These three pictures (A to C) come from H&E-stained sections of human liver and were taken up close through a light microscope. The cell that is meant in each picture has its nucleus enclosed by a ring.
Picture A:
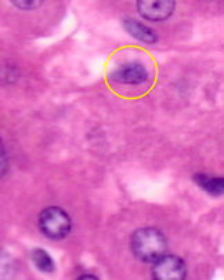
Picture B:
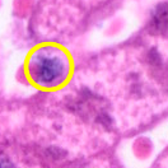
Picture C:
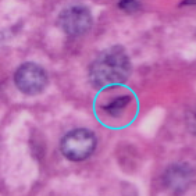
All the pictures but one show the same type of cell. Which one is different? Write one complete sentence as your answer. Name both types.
All pictures except B show “fibroblasts or stellate cells”; picture B shows an endothelial cell.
